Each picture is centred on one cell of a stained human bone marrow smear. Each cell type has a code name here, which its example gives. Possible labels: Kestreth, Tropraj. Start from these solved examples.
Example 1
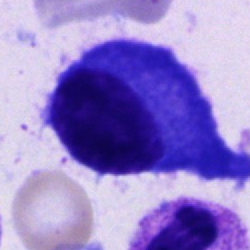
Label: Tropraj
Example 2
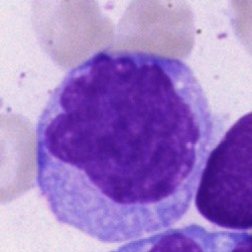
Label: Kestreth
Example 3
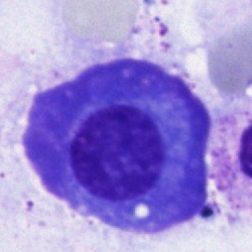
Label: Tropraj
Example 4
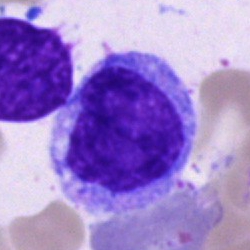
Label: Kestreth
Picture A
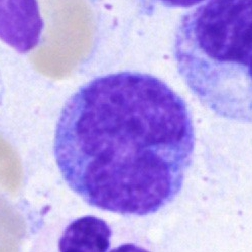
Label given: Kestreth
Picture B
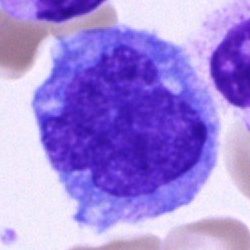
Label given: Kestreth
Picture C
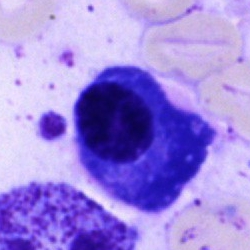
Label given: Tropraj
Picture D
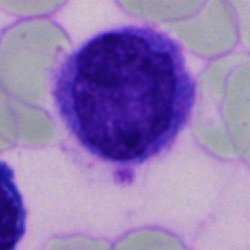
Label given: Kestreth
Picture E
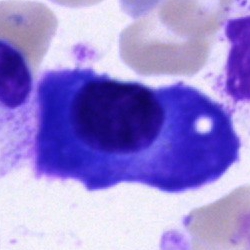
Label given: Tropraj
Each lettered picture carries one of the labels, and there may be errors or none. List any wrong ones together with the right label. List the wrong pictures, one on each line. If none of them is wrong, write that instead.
All correct.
